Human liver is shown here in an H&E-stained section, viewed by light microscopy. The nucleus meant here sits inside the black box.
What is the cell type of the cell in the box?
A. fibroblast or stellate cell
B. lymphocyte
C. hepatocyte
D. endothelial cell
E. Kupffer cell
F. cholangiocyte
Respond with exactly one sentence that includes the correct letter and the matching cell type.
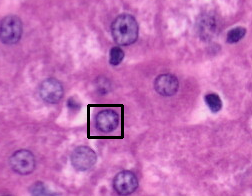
Best answer: option C, with the cell in the box being a hepatocyte.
